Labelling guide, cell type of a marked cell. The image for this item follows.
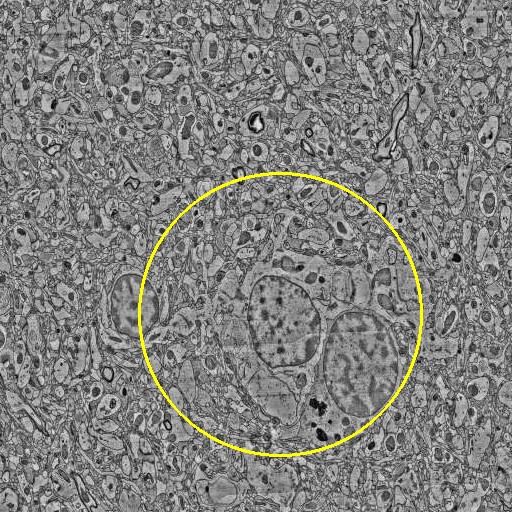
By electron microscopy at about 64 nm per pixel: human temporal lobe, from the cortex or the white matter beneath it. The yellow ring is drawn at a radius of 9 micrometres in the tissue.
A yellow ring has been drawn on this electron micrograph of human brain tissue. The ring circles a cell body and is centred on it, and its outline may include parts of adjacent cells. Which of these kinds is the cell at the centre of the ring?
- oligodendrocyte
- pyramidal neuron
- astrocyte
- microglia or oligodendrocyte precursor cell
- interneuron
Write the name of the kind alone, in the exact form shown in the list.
astrocyte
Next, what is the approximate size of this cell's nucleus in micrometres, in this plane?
In this plane, approximately 6 by 5 micrometers.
